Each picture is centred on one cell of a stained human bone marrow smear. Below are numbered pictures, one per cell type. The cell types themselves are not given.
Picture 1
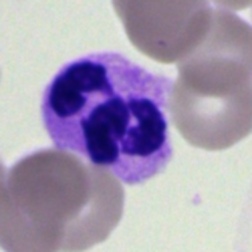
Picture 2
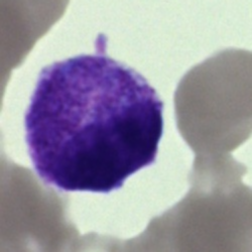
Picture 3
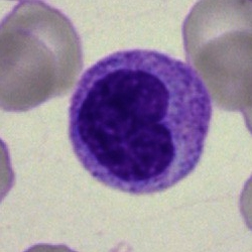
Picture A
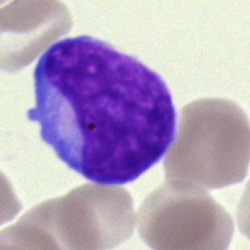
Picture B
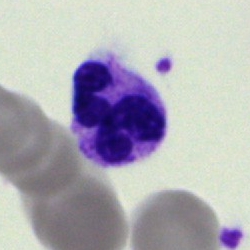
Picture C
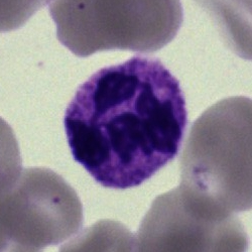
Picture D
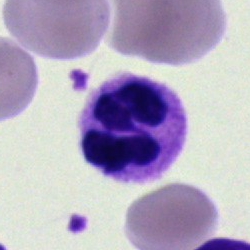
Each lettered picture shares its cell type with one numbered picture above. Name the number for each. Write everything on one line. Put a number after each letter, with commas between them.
A 2, B 1, C 1, D 1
